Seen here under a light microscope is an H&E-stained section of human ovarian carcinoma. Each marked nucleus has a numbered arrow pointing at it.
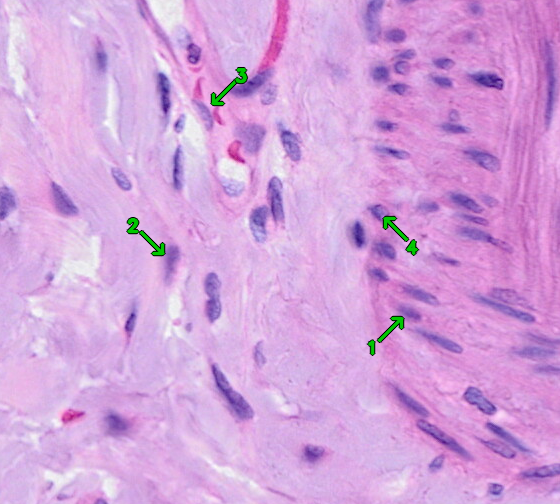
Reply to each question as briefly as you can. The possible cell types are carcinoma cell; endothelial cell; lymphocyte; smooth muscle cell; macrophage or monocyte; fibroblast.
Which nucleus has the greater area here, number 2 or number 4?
2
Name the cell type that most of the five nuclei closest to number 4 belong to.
smooth muscle cell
